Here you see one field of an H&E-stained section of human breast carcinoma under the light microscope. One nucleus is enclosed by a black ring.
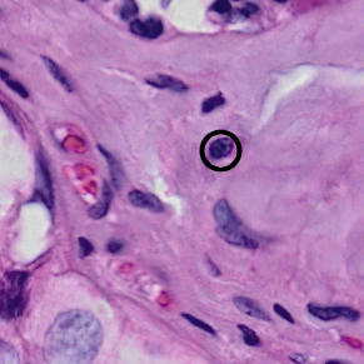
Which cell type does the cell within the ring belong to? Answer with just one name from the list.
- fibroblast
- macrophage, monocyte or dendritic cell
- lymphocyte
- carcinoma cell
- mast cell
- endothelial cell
mast cell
